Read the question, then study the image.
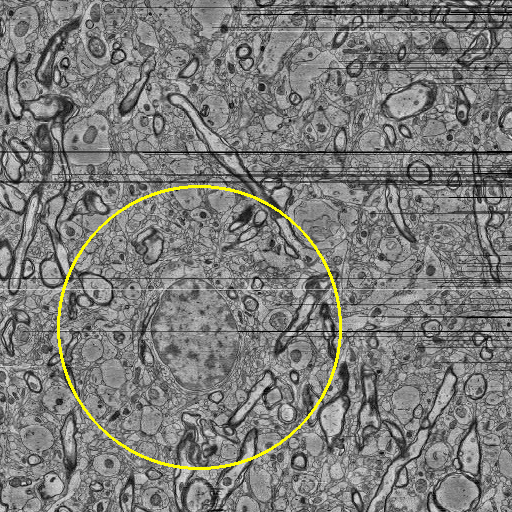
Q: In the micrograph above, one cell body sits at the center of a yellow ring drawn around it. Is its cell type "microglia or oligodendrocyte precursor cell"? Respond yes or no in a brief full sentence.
Yes, its cell type is that one.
